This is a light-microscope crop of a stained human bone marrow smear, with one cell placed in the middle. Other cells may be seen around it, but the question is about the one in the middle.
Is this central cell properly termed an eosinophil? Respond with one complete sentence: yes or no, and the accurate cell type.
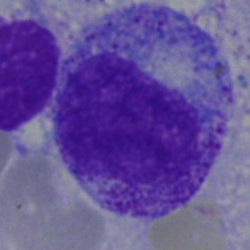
No, in the middle of the crop there is a promyelocyte rather than an eosinophil.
